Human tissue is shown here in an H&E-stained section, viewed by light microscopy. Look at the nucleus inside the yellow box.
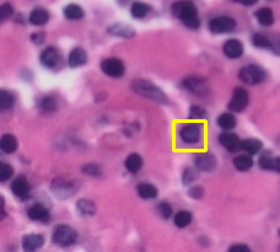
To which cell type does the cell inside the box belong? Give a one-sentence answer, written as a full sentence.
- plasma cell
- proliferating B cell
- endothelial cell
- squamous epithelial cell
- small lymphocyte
In short, the cell inside the box on this section is a plasma cell.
